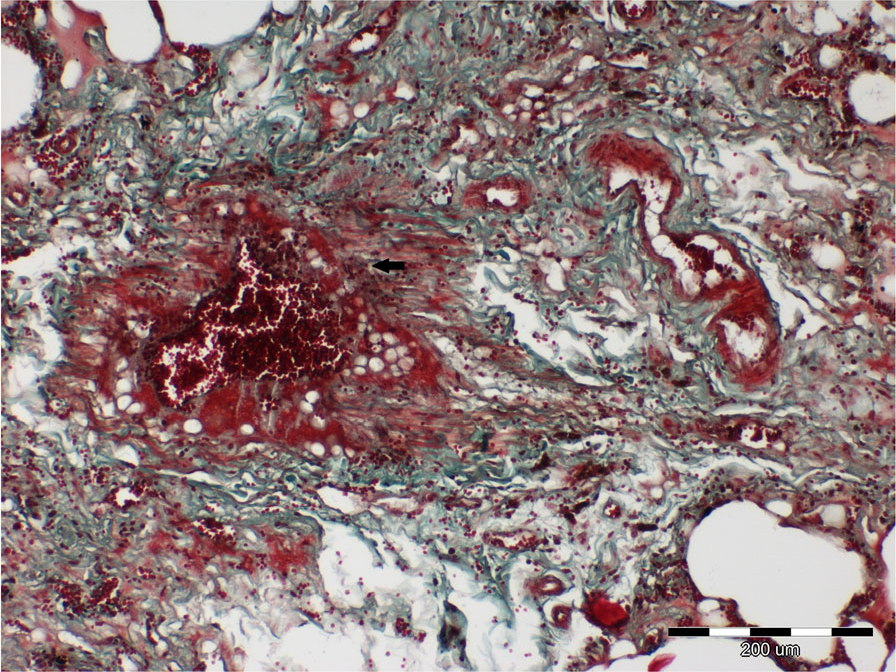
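This is lung tissue in which the normal thin-walled airspaces are largely replaced by dense fibrous tissue. Only a few round, empty airspaces remain, mainly at the corners. Between them the tissue is crowded with wavy blue-green fibres, in which scattered small dark nuclei lie. Left of centre is a large, irregular vessel packed with red blood cells. It is surrounded by a broad zone of red-staining material and green fibres, and it lacks a neat, continuous wall. To the right, a winding vessel has thick red walls. Small clusters of red cells and fine vessels lie scattered through the fibrous tissue.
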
